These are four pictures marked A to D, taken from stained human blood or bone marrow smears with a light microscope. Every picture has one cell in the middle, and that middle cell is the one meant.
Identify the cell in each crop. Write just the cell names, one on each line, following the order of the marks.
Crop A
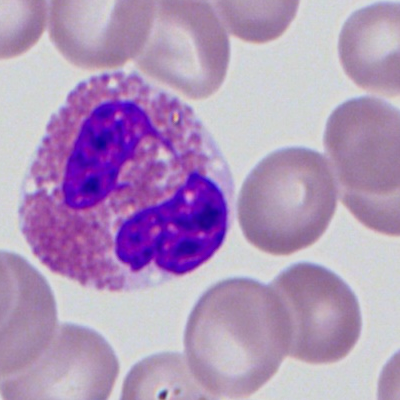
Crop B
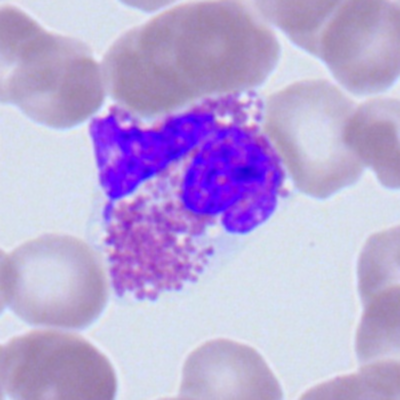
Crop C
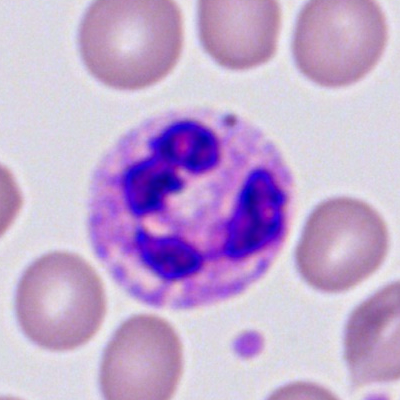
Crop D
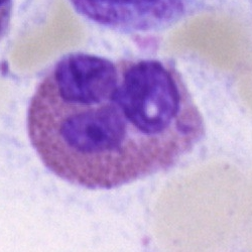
eosinophil
eosinophil
neutrophil
eosinophil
